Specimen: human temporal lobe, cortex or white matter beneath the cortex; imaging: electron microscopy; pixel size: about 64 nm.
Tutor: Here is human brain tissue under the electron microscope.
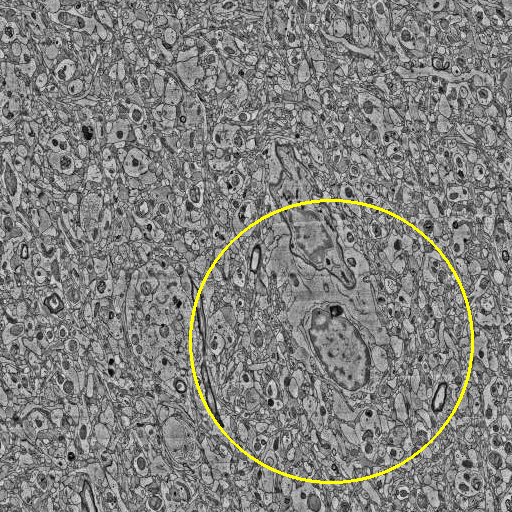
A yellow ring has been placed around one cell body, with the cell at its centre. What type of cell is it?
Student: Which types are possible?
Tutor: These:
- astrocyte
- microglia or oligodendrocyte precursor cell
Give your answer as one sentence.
What the ring picks out here is a microglial cell or oligodendrocyte precursor cell.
